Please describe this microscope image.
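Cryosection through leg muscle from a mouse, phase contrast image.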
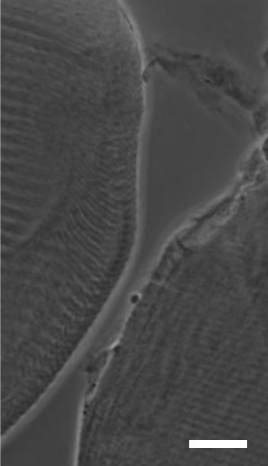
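Broad fibres on both sides of the field carry fine, regular, parallel bands of alternating light and dark. A smooth, unstriated gap with a bright edge curves between the fibres. Thin, irregular material lies along the margin of one fibre within this gap.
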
